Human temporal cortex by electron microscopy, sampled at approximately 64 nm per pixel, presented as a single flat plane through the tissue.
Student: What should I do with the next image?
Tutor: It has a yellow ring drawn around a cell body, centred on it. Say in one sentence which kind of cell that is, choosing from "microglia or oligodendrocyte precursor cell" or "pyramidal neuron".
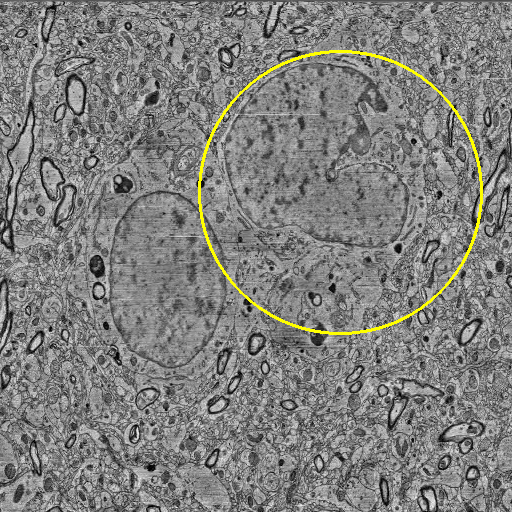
The ring's centre is occupied by a microglial cell or oligodendrocyte precursor cell.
